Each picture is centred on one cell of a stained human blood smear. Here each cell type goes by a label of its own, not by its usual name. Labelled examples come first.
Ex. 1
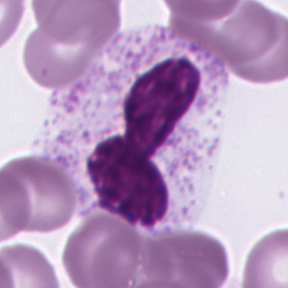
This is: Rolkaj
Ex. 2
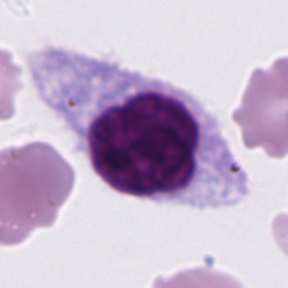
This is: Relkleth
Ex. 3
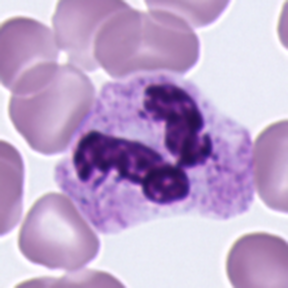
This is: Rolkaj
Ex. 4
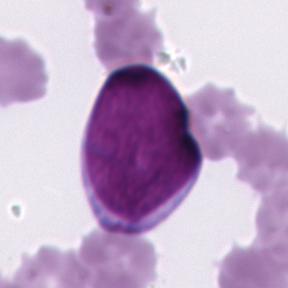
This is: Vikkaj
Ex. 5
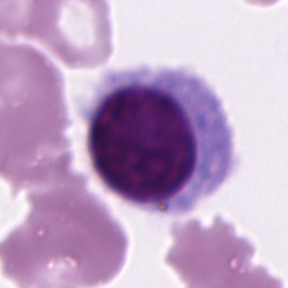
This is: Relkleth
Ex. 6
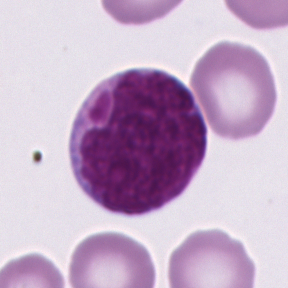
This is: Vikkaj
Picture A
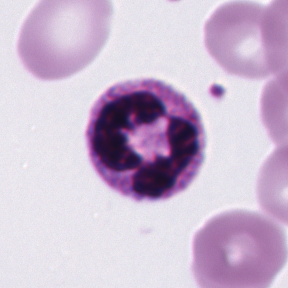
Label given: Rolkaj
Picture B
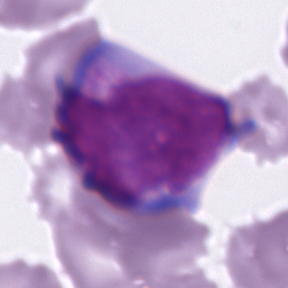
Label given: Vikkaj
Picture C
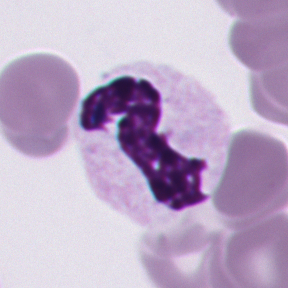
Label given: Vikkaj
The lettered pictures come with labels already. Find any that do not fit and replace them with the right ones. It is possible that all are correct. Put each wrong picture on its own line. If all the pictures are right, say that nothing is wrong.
C: change Vikkaj to Rolkaj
